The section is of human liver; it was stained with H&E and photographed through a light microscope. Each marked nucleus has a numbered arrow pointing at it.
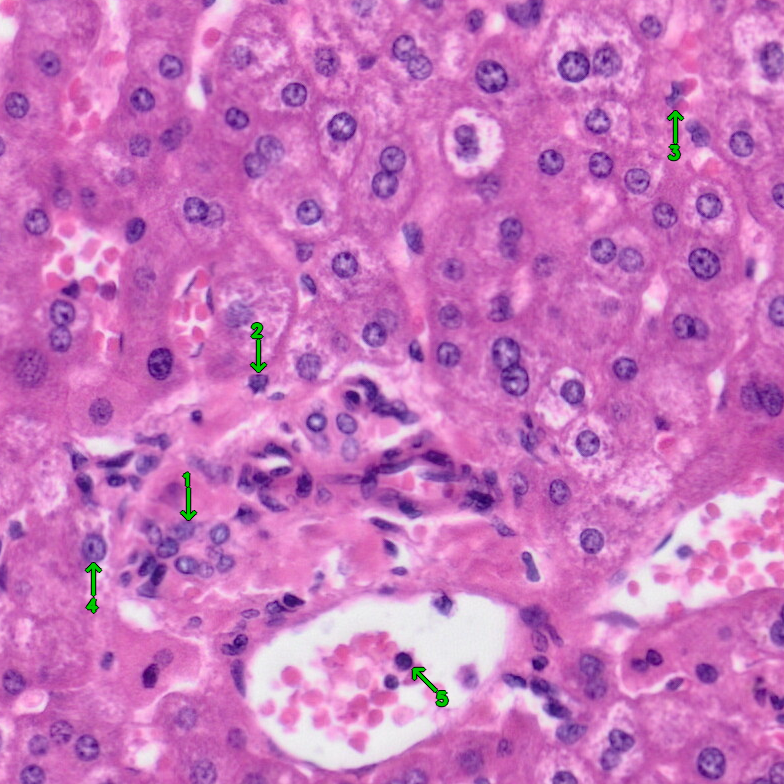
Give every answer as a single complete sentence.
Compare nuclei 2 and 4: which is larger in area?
Of the two, number 4 is bigger and takes up about 1.5 times the area of number 2.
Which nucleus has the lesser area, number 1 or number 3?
The smaller nucleus is 3, and 1 covers roughly 1.5 times its area.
